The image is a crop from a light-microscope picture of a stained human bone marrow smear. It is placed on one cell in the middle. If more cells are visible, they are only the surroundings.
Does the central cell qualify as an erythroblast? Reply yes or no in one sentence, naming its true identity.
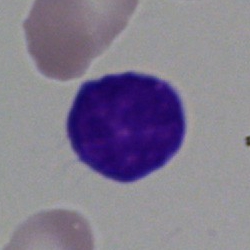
No, the cell at the centre of the crop is a blast and not an erythroblast.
